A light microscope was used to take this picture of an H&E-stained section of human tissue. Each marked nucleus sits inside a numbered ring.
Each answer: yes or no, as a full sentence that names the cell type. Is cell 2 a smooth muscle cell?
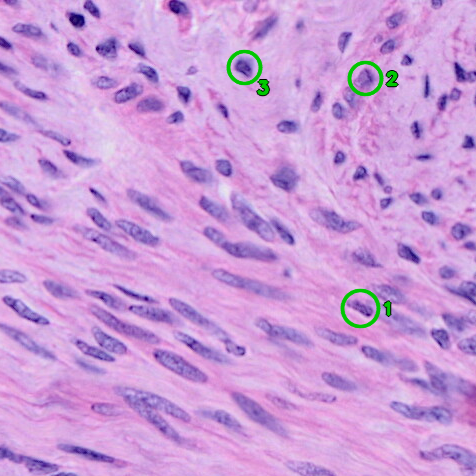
Yes, the cell corresponding to number 2 is a smooth muscle cell.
